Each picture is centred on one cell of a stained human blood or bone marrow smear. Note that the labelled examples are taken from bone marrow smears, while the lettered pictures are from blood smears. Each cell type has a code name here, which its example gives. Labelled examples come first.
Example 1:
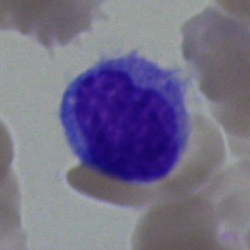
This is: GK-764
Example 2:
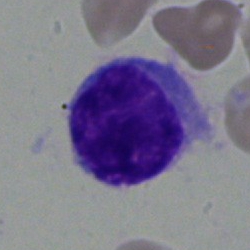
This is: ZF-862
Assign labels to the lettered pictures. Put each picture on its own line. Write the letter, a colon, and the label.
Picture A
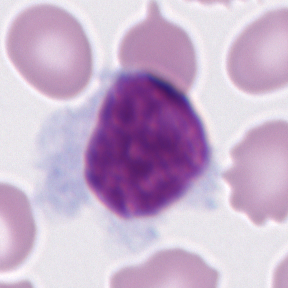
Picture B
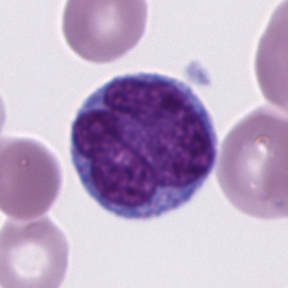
A: ZF-862
B: GK-764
